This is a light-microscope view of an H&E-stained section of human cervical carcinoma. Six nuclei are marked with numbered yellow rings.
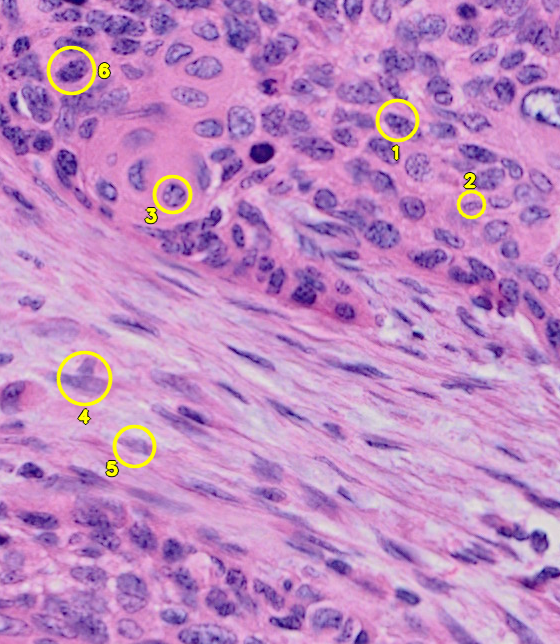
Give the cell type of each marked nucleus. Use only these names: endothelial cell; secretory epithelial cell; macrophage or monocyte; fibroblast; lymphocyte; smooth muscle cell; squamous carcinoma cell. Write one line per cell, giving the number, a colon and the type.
1: squamous carcinoma cell
2: squamous carcinoma cell
3: squamous carcinoma cell
4: fibroblast
5: fibroblast
6: squamous carcinoma cell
